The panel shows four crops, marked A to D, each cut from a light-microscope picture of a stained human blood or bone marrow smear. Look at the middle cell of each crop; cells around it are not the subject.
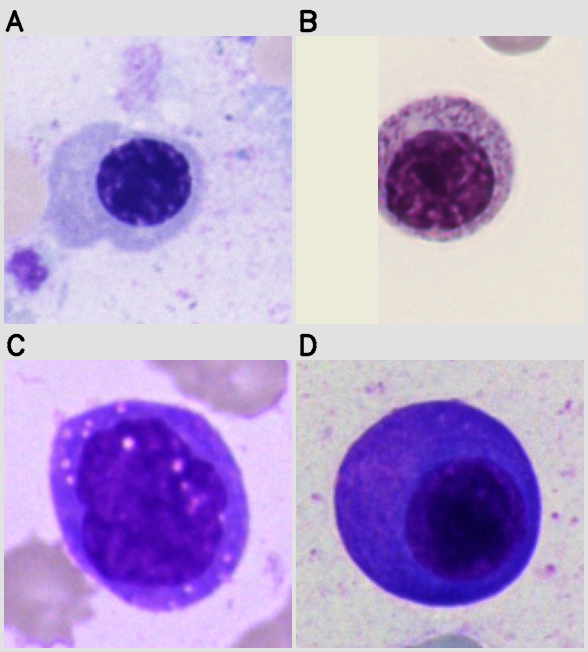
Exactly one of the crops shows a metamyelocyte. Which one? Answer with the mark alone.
B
